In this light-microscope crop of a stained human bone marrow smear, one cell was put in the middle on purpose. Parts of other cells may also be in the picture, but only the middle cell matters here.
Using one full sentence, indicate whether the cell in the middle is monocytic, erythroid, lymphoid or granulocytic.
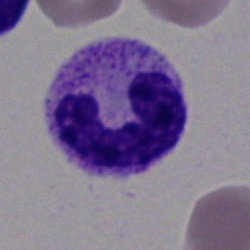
The cell right in the center of the crop is part of the granulocytic line.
